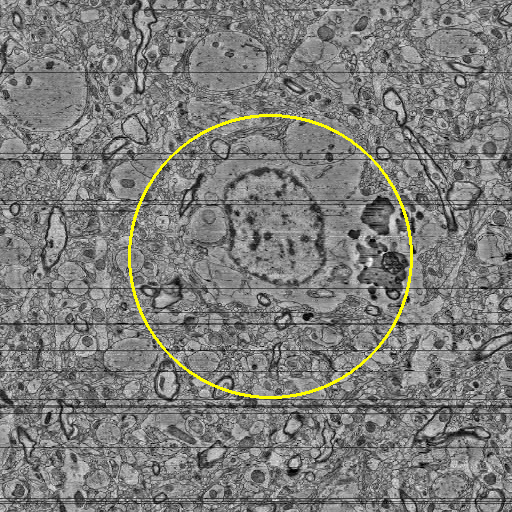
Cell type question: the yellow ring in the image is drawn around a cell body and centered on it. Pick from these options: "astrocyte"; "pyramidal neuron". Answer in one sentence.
The ringed cell at the center is an astrocyte.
